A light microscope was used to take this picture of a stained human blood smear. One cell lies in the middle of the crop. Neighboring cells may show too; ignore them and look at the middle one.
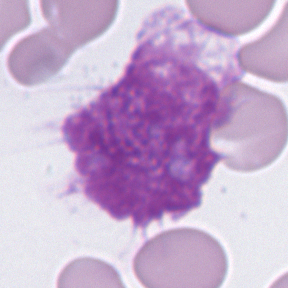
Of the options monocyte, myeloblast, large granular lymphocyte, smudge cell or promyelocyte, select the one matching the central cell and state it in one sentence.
The centrally placed cell is classified as a smudge cell.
